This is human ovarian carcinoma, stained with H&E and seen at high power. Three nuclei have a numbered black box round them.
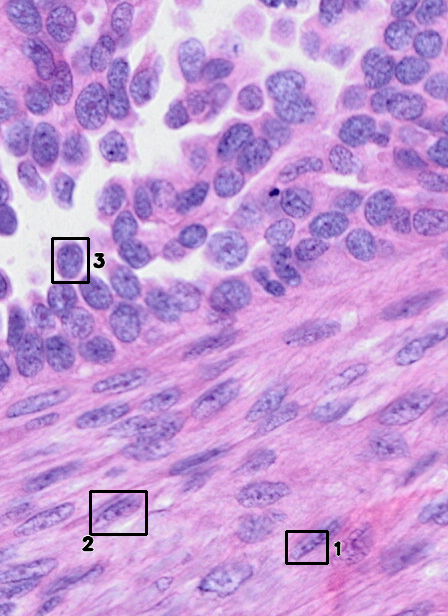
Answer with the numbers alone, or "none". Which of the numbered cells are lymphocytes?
none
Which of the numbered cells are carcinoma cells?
3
